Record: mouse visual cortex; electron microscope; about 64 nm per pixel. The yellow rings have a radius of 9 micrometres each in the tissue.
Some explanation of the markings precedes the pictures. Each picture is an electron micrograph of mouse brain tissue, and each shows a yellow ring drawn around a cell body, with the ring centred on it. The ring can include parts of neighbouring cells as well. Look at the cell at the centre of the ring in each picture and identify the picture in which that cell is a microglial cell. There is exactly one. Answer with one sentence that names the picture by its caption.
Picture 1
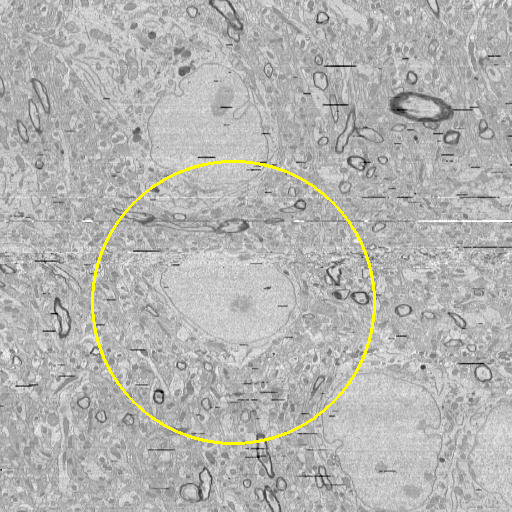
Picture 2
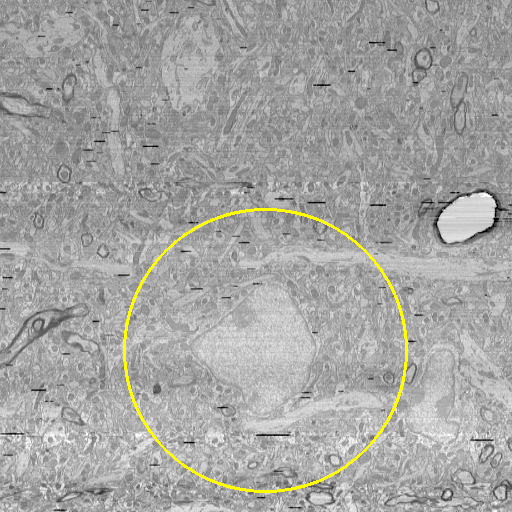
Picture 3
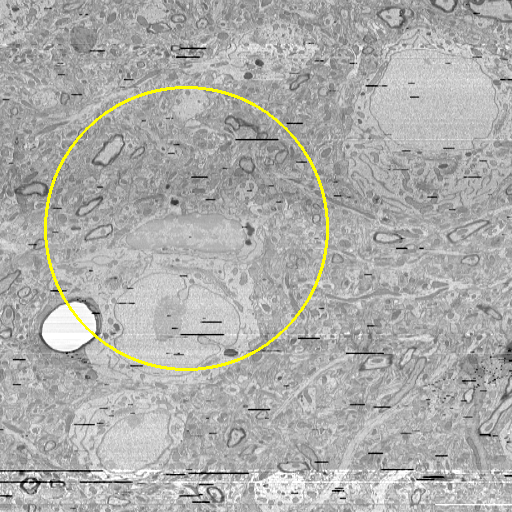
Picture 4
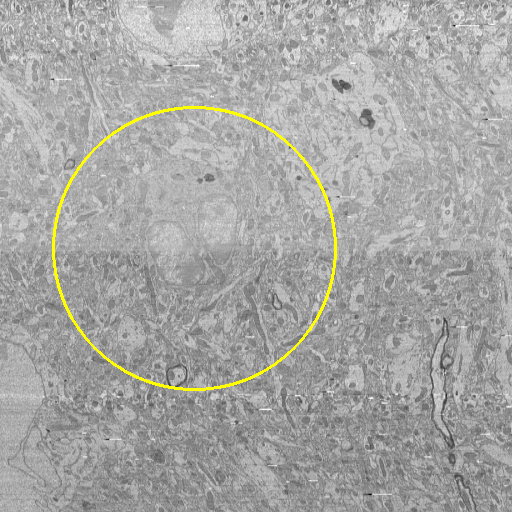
In Picture 3, the cell at the centre of the ring is of that kind.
